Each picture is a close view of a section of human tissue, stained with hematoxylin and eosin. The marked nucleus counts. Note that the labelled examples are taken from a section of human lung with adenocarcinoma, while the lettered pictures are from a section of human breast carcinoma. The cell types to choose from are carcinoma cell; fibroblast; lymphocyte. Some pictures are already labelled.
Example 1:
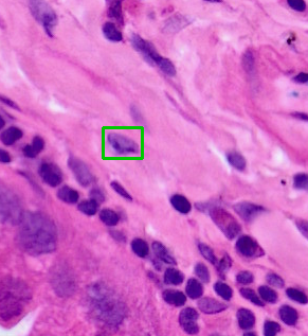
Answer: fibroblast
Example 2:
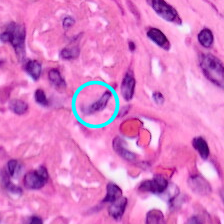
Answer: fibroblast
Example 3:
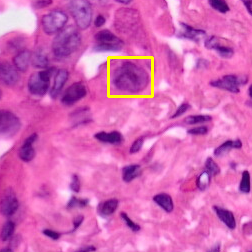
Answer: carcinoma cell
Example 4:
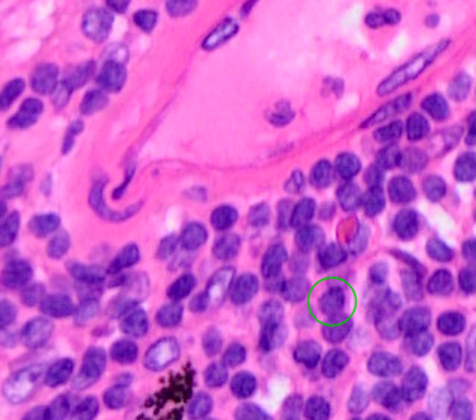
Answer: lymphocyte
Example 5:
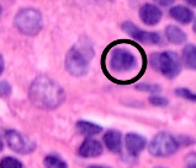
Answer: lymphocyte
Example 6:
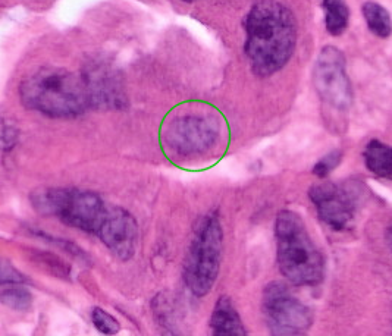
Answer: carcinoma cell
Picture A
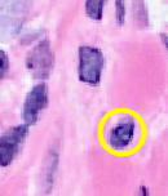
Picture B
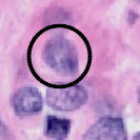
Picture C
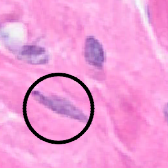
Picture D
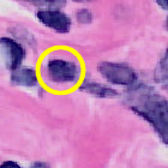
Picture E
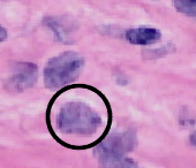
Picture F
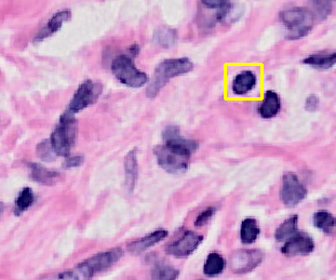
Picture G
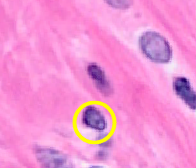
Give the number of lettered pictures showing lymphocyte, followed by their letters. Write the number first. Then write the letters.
Count: 4 (A, D, F, G)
